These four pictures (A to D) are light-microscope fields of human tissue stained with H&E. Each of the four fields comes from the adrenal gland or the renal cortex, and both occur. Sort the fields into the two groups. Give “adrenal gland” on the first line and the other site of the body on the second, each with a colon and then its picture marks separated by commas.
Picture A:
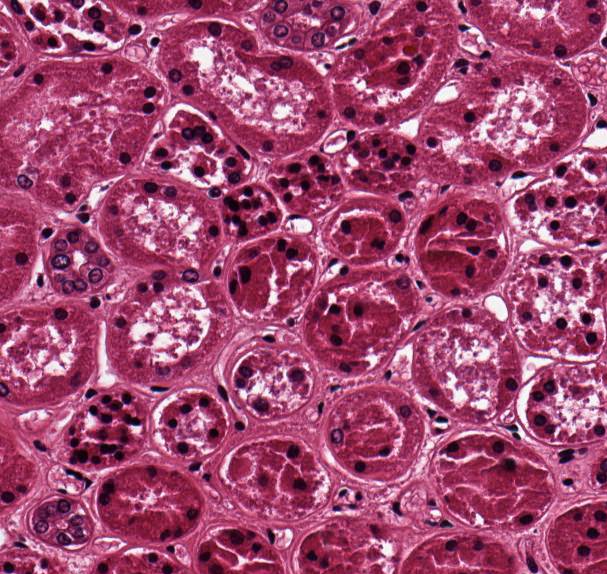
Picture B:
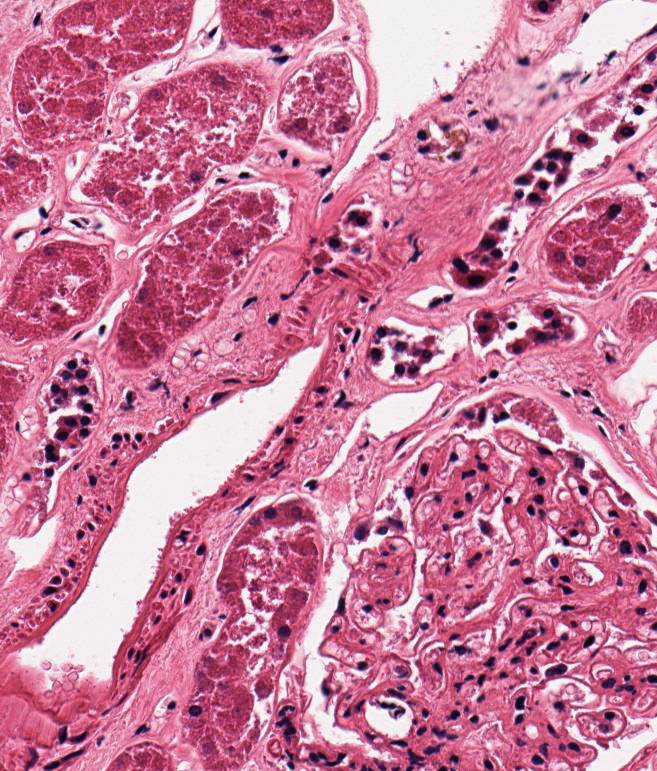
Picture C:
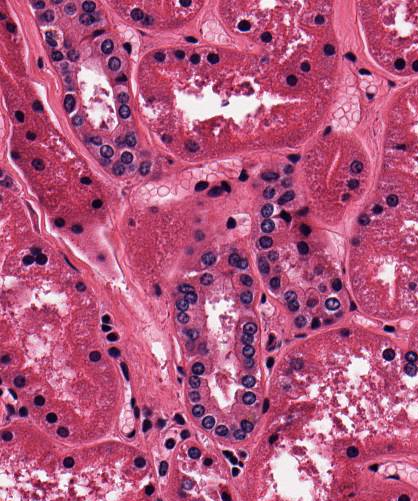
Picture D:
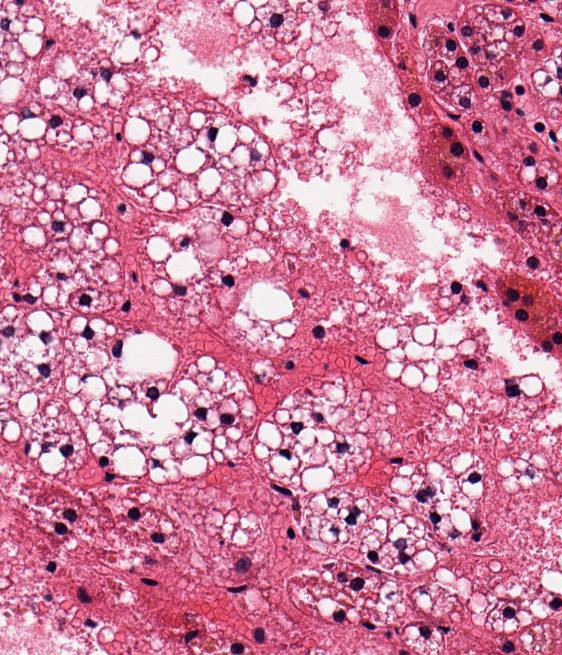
adrenal gland: D
renal cortex: A, B, C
